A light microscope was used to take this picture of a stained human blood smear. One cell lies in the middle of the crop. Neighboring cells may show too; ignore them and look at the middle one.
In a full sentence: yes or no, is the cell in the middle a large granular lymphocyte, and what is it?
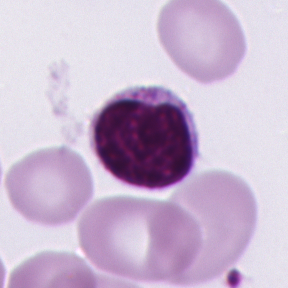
Yes, the cell that the crop is centred on is a large granular lymphocyte.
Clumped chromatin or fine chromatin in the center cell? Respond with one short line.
You can see that its chromatin is coarsely clumped.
